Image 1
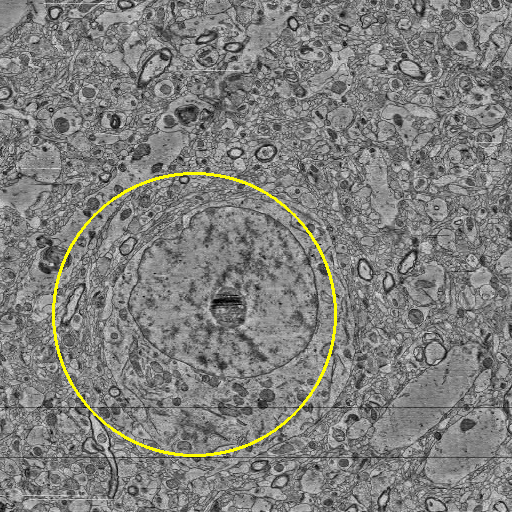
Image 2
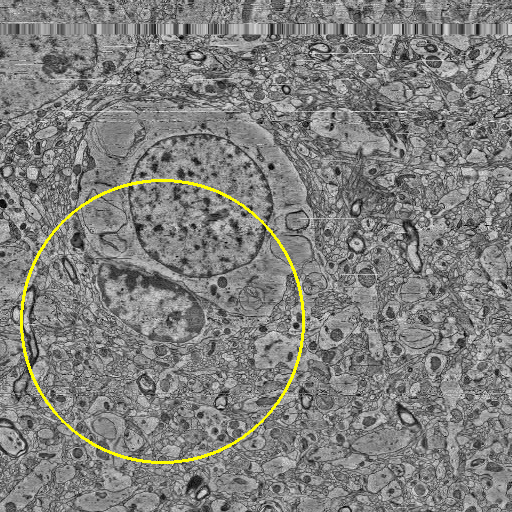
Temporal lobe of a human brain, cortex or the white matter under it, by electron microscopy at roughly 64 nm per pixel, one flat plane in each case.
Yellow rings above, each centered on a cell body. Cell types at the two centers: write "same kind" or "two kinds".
two kinds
